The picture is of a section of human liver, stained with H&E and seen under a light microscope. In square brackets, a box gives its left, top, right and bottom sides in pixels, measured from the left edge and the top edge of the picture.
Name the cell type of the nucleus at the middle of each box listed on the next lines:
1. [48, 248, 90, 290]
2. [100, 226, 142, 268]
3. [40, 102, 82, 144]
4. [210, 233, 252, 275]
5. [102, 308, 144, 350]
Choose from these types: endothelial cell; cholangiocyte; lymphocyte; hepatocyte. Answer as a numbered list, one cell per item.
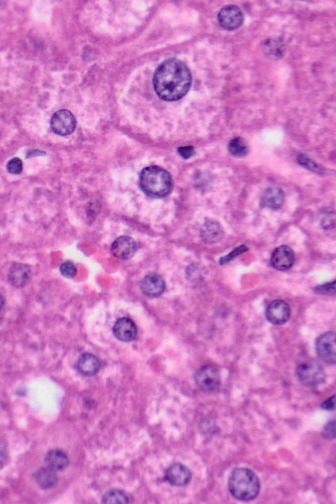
1. lymphocyte
2. hepatocyte
3. hepatocyte
4. endothelial cell
5. hepatocyte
